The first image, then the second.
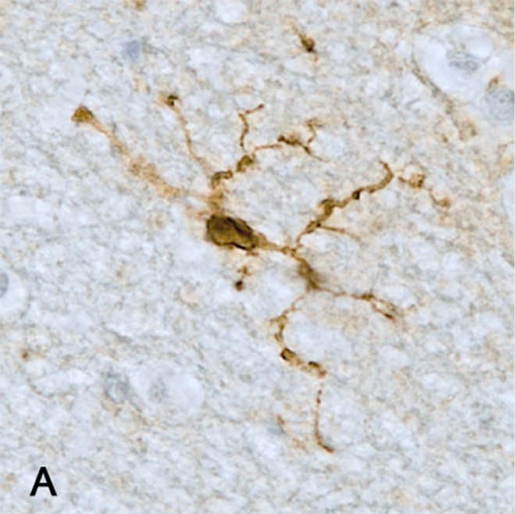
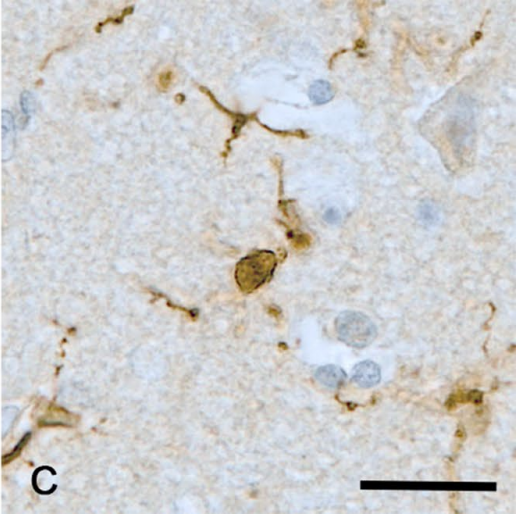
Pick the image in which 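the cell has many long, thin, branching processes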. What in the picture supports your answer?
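The first image. Second image: the central brown cell is a rounded body without processes. First image: the central brown cell gives off many long, fine, branching processes.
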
